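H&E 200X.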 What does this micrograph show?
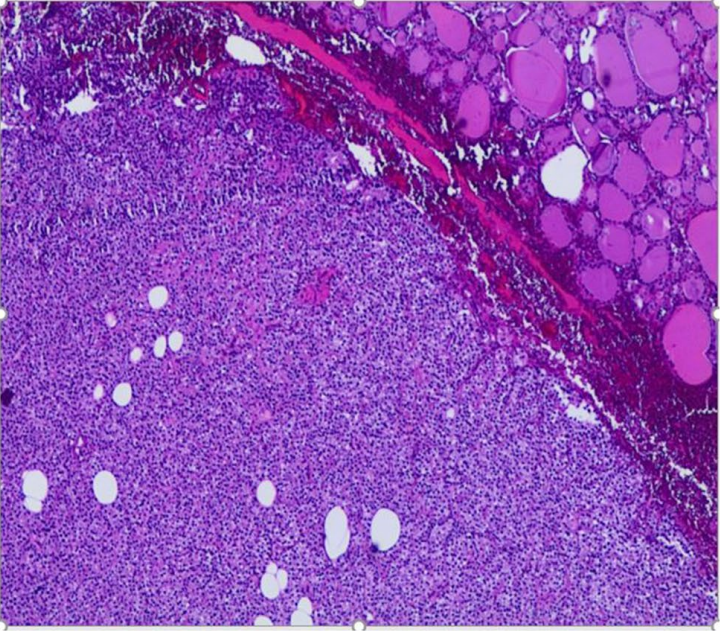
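Tissue section of a parathyroid adenoma lying within the thyroid, with a sharply demarcated, regular border. The nodule is made of solid sheets of closely packed small cells with dark nuclei and a few scattered clear spaces, and it is separated by a thin pink fibrous rim from adjacent thyroid follicles filled with pink colloid.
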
